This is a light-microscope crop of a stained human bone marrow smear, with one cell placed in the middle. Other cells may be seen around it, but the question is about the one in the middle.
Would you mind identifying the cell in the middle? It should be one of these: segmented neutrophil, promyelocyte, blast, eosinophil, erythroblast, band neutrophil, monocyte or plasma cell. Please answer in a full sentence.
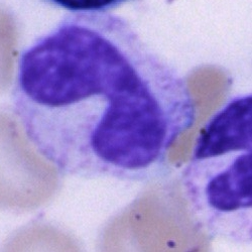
The centrally located cell in the crop is a band neutrophil.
